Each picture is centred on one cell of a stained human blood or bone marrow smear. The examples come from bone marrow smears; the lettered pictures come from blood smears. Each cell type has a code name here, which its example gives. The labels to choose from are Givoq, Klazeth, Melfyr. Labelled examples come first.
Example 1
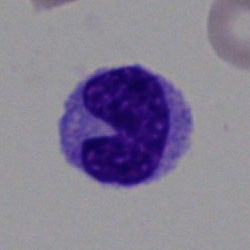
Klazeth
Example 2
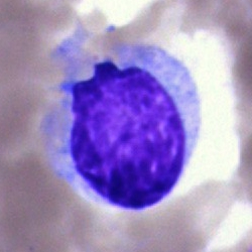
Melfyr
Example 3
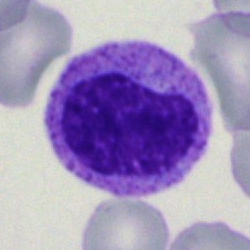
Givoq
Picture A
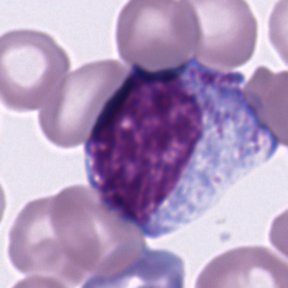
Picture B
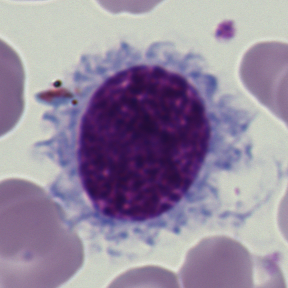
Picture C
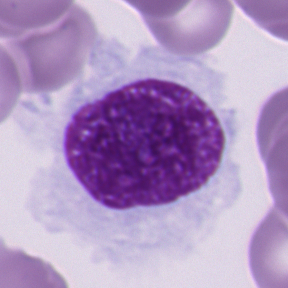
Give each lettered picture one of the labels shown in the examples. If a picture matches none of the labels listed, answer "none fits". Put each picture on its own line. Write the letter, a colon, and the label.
A: Givoq
B: Melfyr
C: Melfyr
